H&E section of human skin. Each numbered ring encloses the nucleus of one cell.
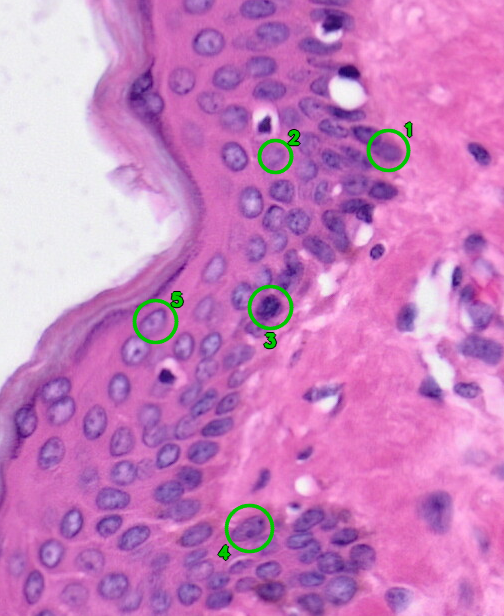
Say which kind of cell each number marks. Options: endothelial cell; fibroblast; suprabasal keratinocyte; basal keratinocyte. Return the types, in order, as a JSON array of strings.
["basal keratinocyte", "suprabasal keratinocyte", "basal keratinocyte", "basal keratinocyte", "suprabasal keratinocyte"]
